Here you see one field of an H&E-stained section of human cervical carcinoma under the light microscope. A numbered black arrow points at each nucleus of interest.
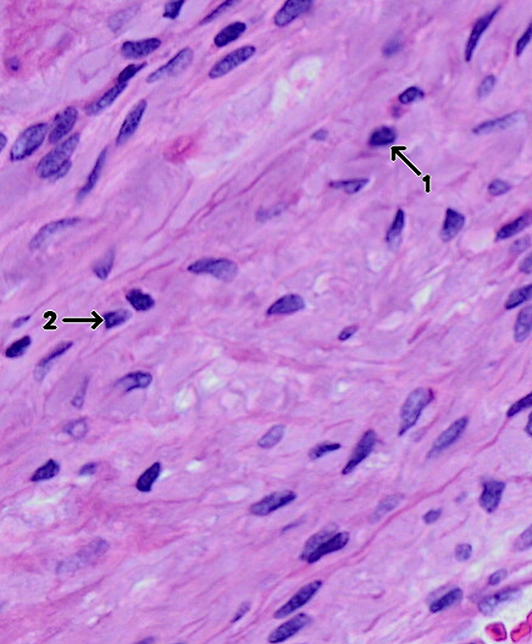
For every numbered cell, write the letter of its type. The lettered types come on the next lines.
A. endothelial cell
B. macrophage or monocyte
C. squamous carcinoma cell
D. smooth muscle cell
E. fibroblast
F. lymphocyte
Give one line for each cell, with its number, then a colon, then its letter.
1: F
2: E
